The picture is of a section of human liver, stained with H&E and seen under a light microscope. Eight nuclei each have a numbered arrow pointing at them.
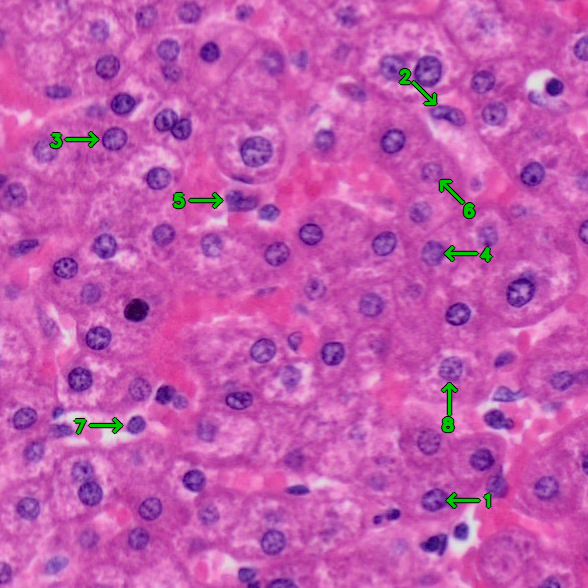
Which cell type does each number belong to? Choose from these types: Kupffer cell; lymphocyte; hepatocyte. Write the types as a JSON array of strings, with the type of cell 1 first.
["hepatocyte", "Kupffer cell", "hepatocyte", "hepatocyte", "Kupffer cell", "hepatocyte", "lymphocyte", "hepatocyte"]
